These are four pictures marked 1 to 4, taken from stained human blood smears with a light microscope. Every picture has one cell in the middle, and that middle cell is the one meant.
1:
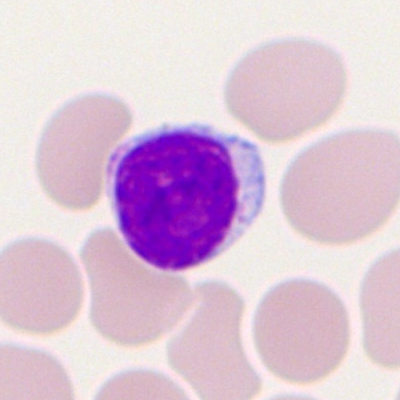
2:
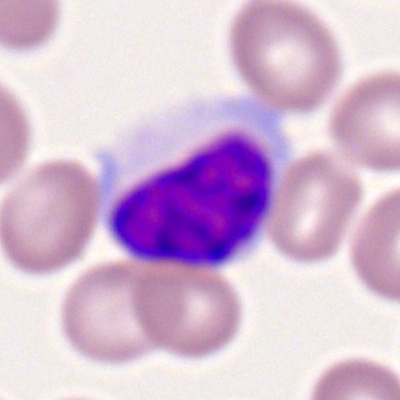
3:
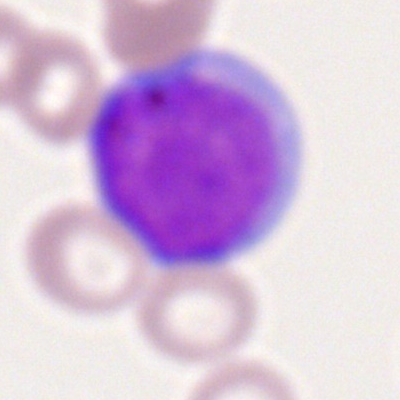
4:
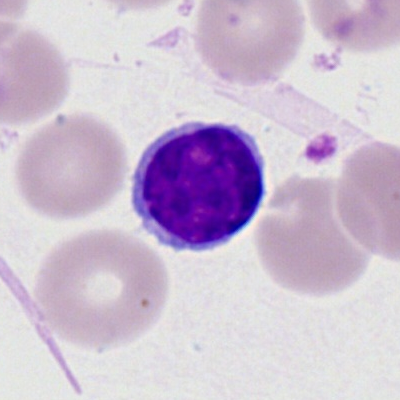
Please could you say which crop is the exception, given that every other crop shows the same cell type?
3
